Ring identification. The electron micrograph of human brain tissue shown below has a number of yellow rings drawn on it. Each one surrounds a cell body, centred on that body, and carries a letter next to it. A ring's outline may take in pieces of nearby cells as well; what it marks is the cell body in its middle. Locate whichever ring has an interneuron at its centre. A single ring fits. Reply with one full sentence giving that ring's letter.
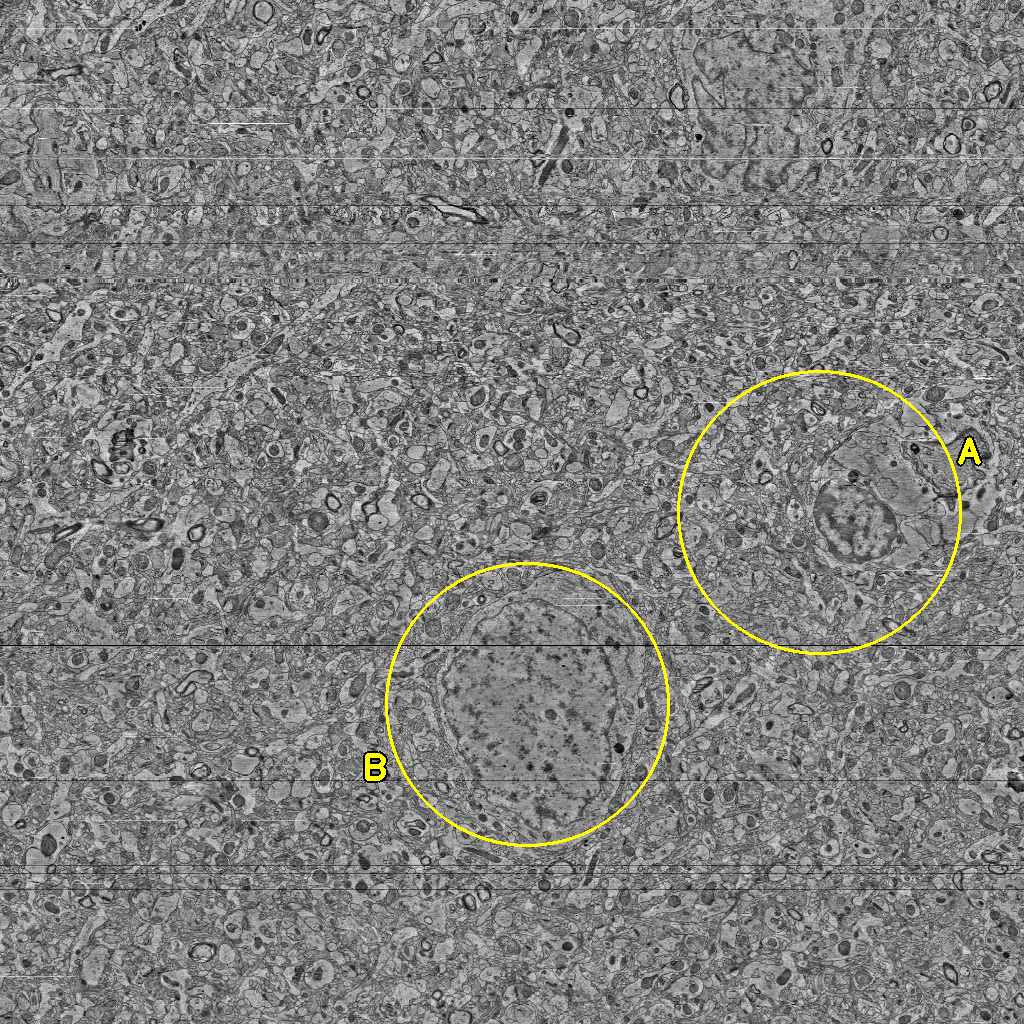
The letter B belongs to the ring centred on a cell of that kind.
